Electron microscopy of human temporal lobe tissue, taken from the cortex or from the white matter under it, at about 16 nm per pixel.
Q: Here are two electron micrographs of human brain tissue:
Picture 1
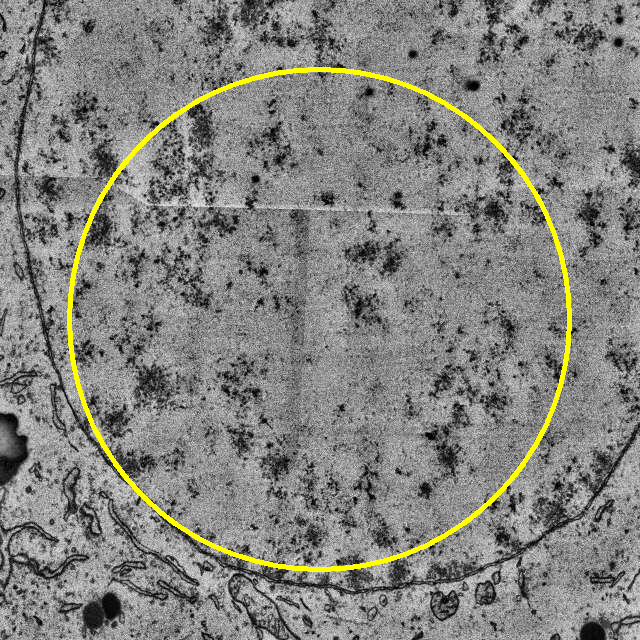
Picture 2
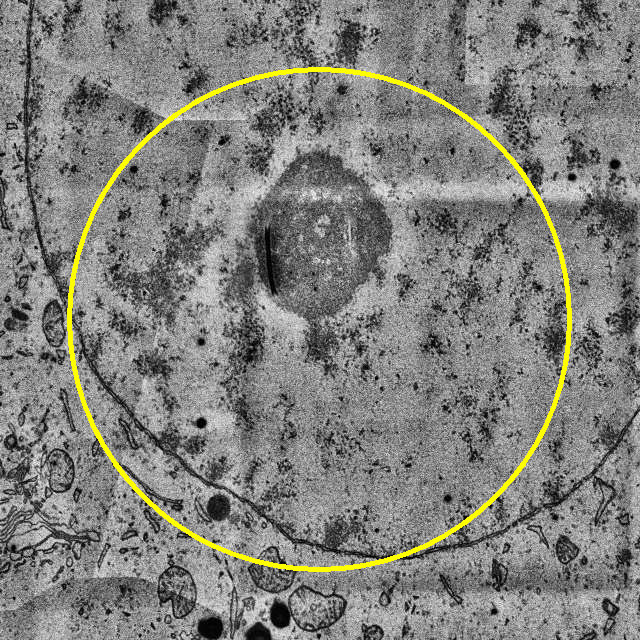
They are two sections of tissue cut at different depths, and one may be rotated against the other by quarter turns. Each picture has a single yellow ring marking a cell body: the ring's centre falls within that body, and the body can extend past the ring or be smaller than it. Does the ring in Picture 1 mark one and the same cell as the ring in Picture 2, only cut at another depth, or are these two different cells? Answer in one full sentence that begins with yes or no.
Yes, both yellow rings were placed on the same cell.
